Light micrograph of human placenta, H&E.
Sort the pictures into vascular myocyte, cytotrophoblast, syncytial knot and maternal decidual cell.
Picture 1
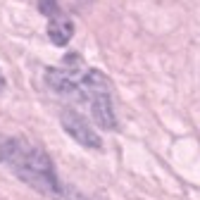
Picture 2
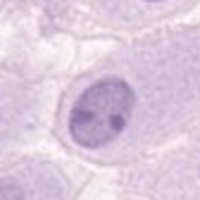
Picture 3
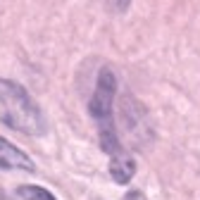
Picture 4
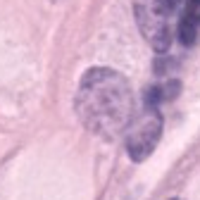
Vascular myocytes: 1, 3
Maternal decidual cells: 2
Cytotrophoblasts: 4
